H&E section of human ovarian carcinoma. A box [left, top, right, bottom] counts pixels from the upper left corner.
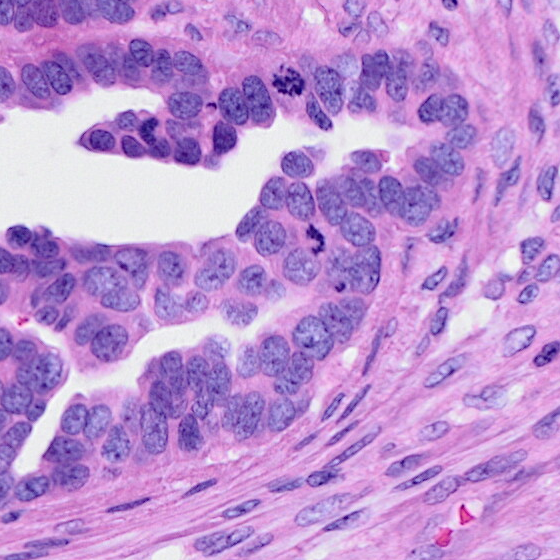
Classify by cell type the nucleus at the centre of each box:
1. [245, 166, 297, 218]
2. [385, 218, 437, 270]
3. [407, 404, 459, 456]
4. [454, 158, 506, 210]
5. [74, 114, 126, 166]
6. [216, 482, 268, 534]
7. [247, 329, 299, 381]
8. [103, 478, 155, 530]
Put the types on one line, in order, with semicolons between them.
carcinoma cell; fibroblast; fibroblast; fibroblast; carcinoma cell; fibroblast; carcinoma cell; fibroblast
